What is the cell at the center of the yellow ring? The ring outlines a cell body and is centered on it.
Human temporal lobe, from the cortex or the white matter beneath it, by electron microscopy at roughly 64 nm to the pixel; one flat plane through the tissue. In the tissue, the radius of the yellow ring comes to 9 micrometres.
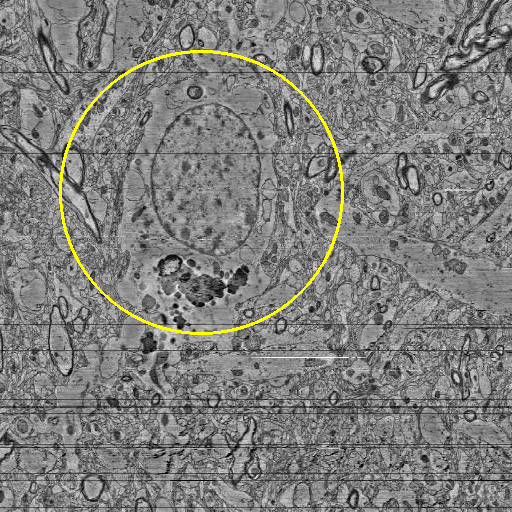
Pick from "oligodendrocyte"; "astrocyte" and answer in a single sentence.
The yellow ring is centered on an astrocyte.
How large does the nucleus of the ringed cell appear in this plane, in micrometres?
In this plane, the nucleus of the cell at the centre of the ring measures about 10 by 7 micrometres.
